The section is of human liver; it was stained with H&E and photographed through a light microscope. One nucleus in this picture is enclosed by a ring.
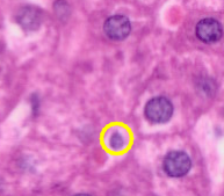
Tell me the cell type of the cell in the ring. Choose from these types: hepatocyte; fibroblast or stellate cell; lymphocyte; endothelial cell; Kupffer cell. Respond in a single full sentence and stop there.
As far as its identity is concerned, the cell in the ring is a lymphocyte.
